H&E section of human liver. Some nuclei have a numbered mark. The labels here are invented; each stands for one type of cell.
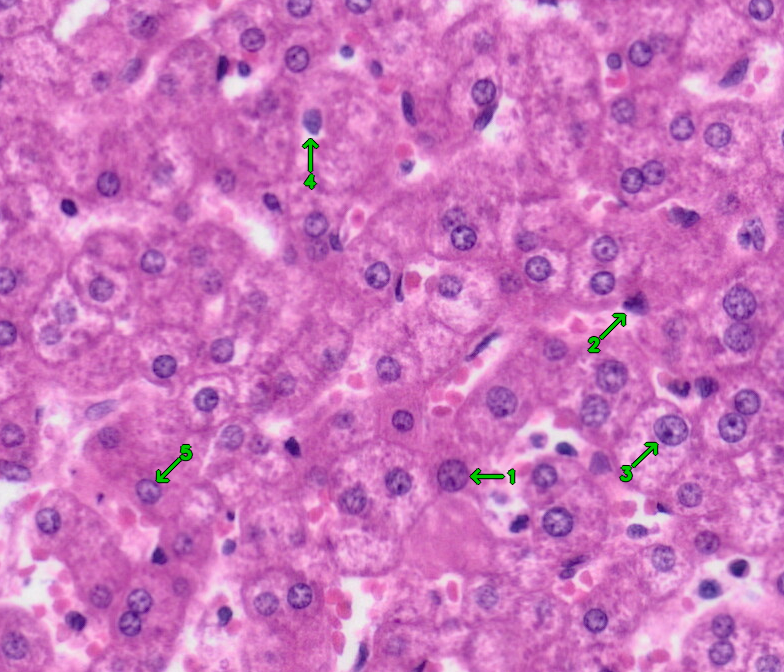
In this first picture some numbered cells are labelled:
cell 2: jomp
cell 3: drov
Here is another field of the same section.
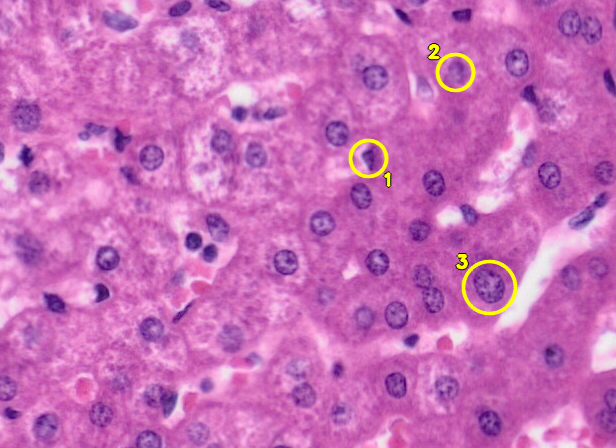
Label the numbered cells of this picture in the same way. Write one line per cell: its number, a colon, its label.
1: jomp
2: drov
3: drov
